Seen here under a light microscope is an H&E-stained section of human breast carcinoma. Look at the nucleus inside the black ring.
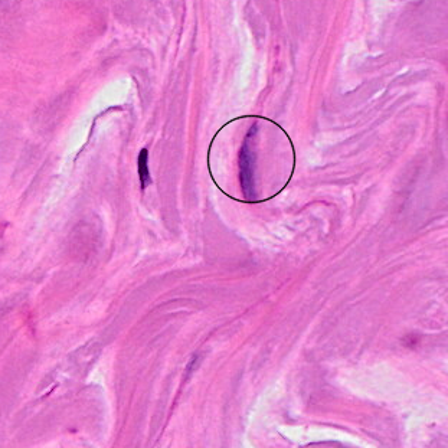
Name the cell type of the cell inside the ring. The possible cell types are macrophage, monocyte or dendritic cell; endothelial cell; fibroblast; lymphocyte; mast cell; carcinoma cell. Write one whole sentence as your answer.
It is as a fibroblast that the cell inside the ring is recorded.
